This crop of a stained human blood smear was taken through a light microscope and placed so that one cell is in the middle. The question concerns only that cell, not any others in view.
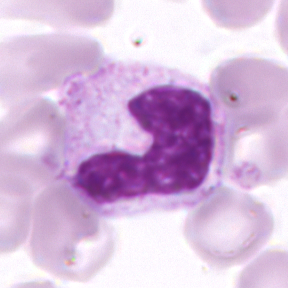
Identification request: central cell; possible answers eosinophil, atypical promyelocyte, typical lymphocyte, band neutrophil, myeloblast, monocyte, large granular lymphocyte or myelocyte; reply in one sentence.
The cell in the middle of the field of view is a band neutrophil.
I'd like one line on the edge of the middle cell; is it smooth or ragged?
A ragged or projecting edge replaces the smooth outline in this cell.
